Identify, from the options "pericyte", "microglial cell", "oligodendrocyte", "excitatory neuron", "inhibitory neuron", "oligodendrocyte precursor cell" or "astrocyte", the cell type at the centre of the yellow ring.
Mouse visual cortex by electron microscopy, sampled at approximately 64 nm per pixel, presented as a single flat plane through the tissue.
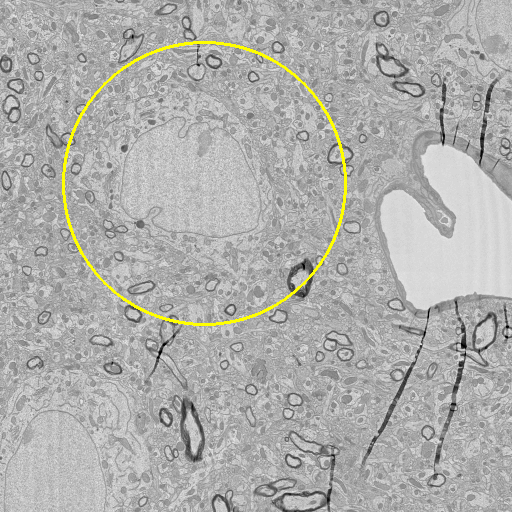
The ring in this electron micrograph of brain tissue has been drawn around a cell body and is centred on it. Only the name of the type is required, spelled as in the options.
inhibitory neuron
